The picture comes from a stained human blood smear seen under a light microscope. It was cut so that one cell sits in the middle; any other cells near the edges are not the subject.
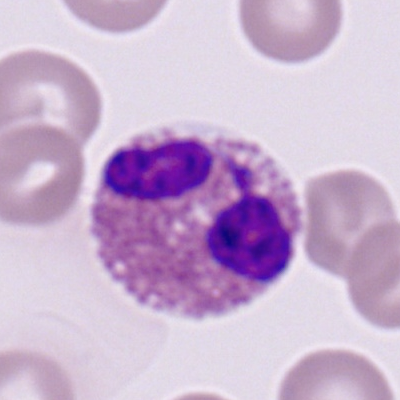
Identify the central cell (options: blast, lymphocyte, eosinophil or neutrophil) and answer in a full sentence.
In the central position of this crop, the cell is an eosinophil.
